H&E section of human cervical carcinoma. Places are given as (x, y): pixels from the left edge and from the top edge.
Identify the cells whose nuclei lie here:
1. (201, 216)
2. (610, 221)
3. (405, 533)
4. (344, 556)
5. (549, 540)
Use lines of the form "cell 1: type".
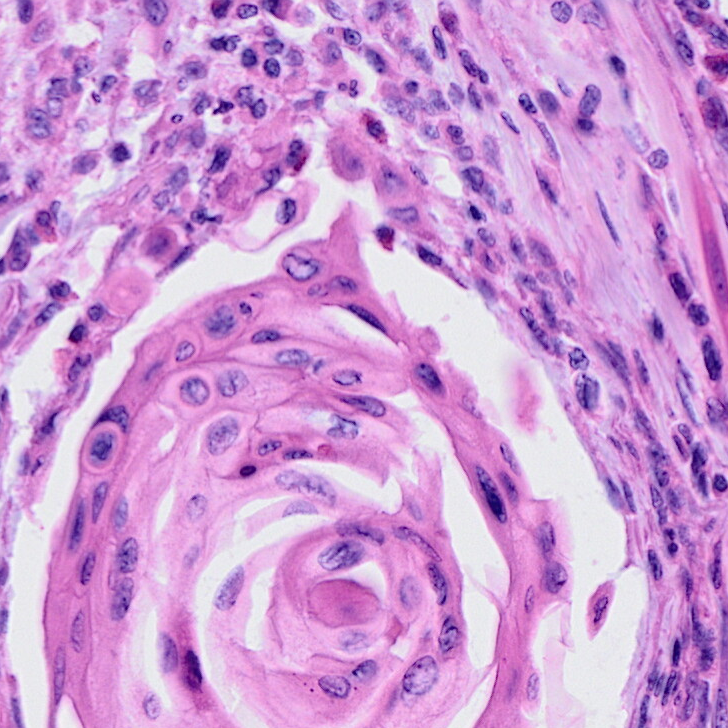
cell 1: lymphocyte
cell 2: fibroblast
cell 3: squamous carcinoma cell
cell 4: squamous carcinoma cell
cell 5: squamous carcinoma cell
